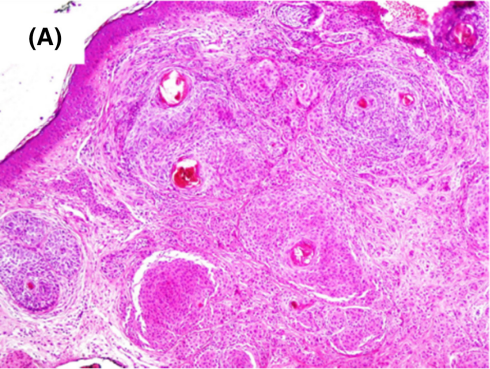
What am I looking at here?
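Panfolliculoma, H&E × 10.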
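Beneath a pink epidermis at the upper left, the dermis is filled with large, rounded solid nests of epithelial cells separated by thin bands of pale stroma. Some nests are made of darker, crowded blue-purple cells, while others are paler and pinker with more cytoplasm, and several contain small central plugs of bright red-pink keratin.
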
